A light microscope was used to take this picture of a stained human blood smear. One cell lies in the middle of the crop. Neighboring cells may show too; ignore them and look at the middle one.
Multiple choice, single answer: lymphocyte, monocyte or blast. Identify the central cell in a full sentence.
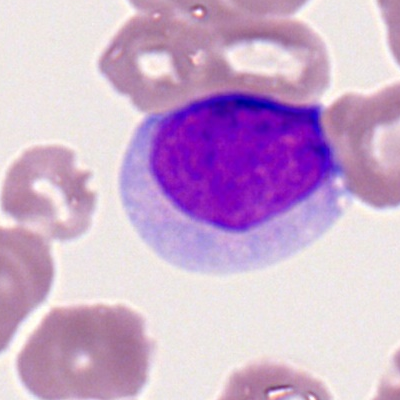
The cell nearest the centre of this crop is a blast.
